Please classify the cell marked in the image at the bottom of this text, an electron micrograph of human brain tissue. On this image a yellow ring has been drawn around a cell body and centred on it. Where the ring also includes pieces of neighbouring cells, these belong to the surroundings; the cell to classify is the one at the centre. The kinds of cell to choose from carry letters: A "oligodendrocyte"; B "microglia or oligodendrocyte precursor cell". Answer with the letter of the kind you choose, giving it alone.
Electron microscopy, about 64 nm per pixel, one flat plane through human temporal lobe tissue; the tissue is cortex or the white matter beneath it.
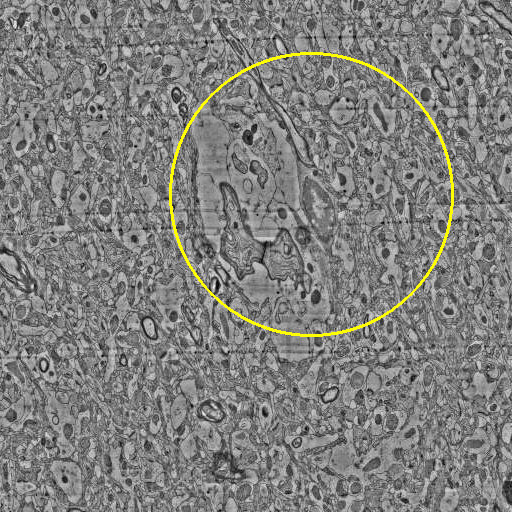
A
